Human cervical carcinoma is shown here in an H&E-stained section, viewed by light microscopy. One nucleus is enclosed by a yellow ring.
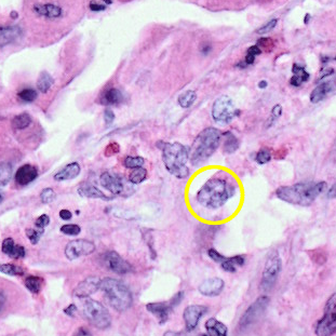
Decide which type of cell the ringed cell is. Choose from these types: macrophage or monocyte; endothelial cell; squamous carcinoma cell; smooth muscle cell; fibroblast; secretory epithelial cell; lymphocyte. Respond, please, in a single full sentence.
In short, the ringed cell on this section is a macrophage or monocyte.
